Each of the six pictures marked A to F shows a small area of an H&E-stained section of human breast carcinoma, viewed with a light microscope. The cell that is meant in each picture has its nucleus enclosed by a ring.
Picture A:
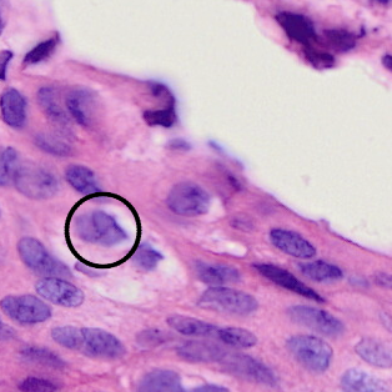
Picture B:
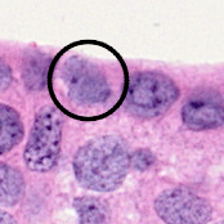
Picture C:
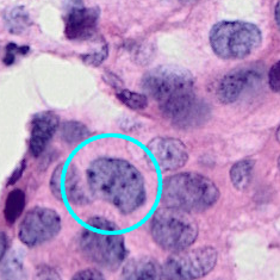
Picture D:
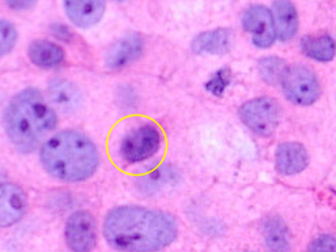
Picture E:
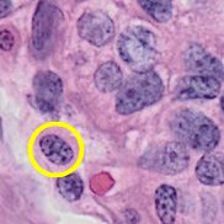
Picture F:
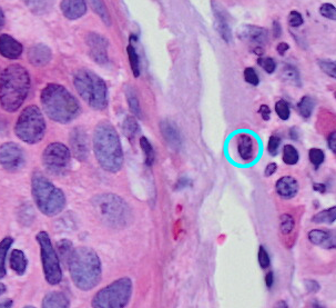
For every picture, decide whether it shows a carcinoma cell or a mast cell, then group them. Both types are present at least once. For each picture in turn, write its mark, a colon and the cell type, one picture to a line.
A: carcinoma cell
B: carcinoma cell
C: carcinoma cell
D: carcinoma cell
E: mast cell
F: mast cell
